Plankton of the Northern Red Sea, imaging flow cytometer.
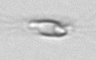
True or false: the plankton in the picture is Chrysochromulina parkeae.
True.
